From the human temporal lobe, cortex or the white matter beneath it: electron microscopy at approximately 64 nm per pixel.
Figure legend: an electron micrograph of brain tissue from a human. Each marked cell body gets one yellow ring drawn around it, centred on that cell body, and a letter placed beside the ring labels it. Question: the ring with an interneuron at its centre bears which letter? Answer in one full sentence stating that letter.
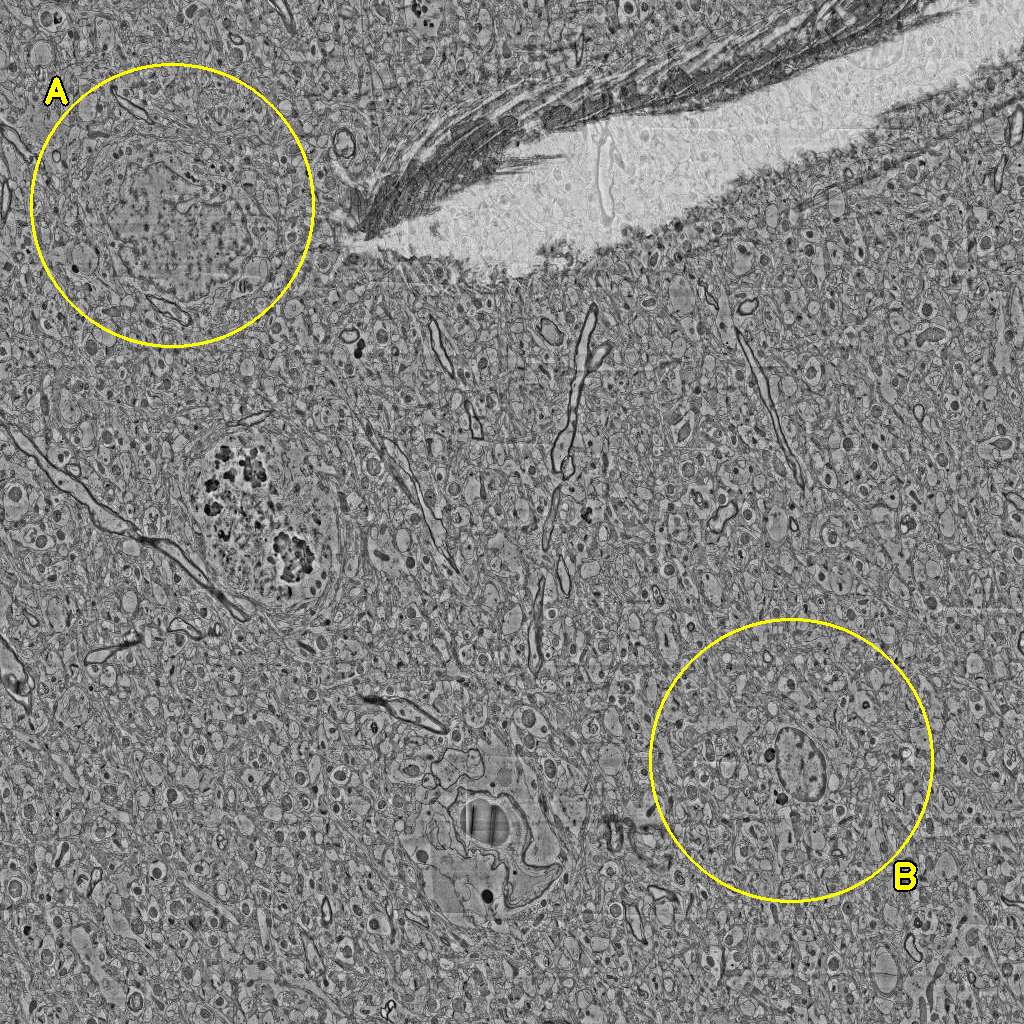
Labelled A is the ring whose centre holds the cell asked for in this picture.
